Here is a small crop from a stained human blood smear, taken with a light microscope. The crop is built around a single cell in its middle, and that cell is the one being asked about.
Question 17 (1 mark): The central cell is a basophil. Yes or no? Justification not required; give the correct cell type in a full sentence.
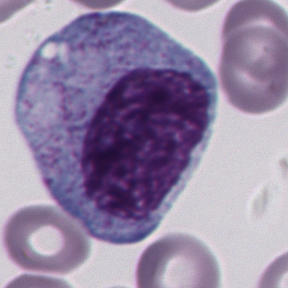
No, that guess of a basophil misses; the central cell is a promyelocyte.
